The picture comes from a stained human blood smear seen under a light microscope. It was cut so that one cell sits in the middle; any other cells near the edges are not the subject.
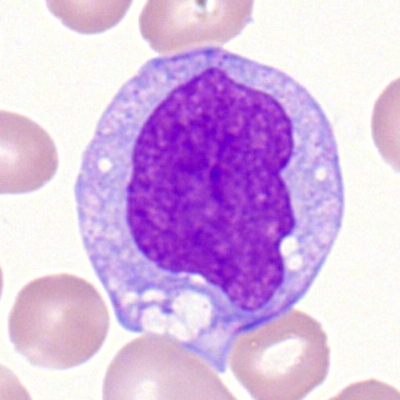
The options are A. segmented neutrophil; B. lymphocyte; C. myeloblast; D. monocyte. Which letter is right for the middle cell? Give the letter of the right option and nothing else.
D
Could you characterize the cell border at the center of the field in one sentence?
Irregular rather than smooth, the cell margin shows ragged areas or projections.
